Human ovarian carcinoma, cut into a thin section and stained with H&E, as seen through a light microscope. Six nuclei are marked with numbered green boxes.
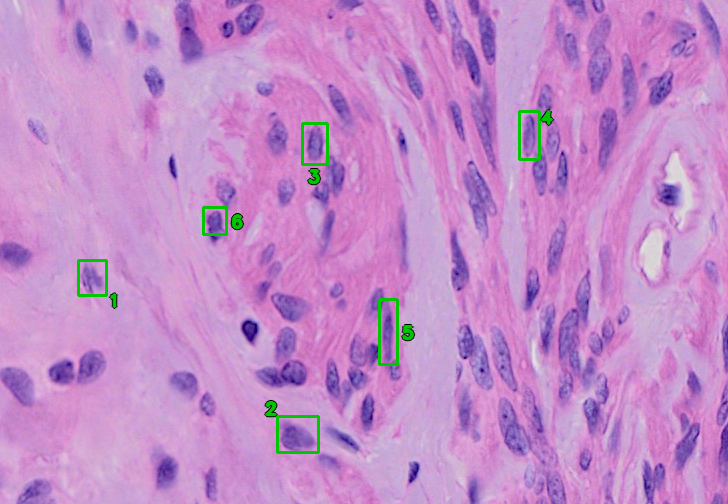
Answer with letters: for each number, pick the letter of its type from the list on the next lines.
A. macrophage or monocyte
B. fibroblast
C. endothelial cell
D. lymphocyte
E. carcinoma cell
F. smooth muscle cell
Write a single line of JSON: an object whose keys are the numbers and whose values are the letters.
{"1": "B", "2": "B", "3": "F", "4": "F", "5": "F", "6": "F"}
